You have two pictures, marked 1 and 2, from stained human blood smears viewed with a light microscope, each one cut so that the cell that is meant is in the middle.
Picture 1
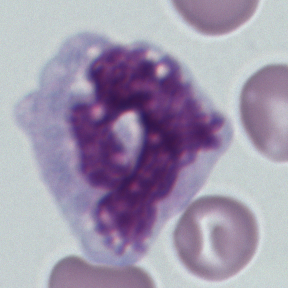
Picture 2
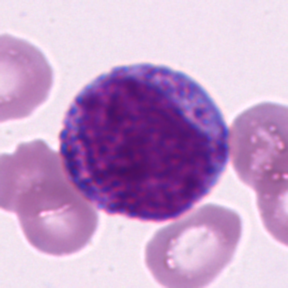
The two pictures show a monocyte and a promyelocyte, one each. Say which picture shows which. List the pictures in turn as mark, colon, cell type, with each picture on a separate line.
1: monocyte
2: promyelocyte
